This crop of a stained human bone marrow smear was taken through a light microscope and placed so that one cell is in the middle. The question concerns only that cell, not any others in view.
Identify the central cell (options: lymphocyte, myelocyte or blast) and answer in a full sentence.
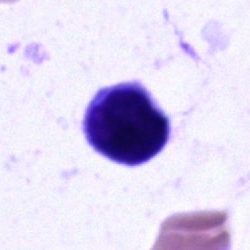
Seen at the centre of the crop is a lymphocyte.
